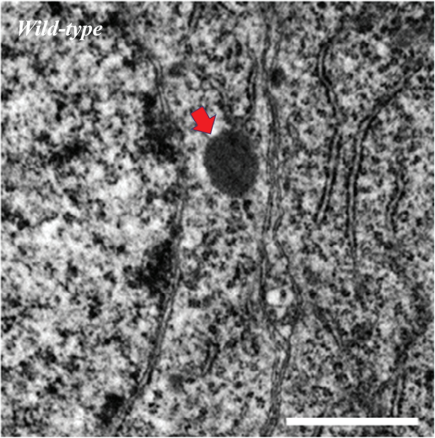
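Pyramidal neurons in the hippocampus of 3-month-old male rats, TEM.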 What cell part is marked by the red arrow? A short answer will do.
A: Lysosomes.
